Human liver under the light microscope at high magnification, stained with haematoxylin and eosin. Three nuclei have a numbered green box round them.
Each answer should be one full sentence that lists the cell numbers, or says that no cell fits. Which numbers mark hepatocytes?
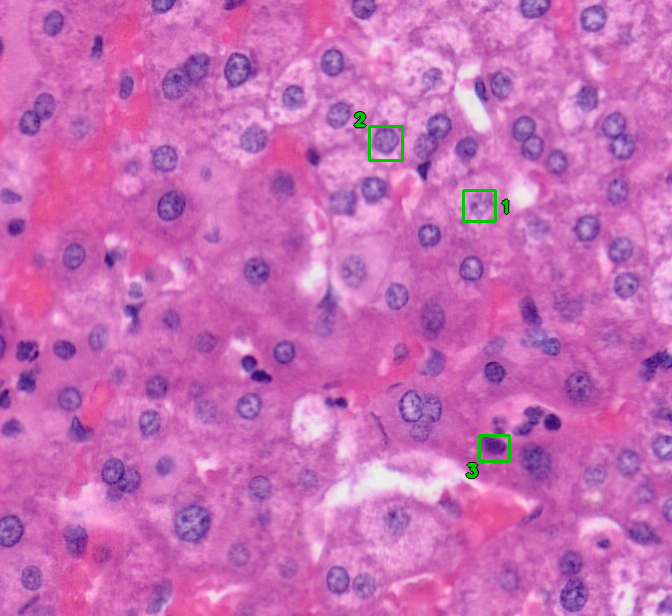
The numbers 1 and 2 refer to cells that are hepatocytes.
